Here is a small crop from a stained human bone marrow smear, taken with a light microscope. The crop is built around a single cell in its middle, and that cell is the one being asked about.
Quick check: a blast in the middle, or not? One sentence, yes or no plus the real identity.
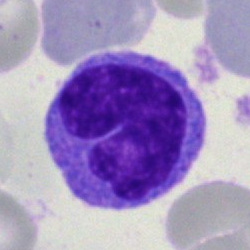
No, the cell at the centre is a monocyte, which rules out a blast.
